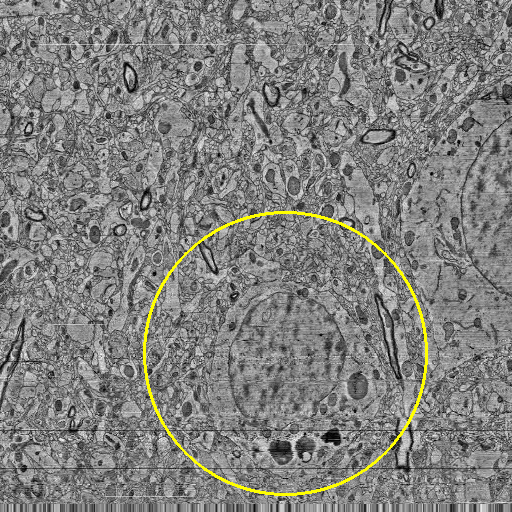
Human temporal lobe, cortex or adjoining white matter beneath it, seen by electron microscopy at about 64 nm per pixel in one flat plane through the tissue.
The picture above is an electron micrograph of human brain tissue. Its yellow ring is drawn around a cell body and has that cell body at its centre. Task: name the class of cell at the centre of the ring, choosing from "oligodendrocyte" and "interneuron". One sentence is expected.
The ring surrounds the body of an interneuron.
